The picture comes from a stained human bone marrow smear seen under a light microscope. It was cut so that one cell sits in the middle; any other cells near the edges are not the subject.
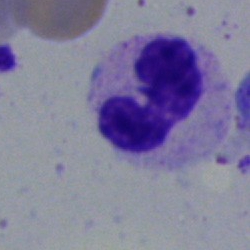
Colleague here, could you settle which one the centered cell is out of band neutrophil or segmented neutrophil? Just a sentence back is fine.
The cell shown in the center of this light-microscope crop is a band neutrophil.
